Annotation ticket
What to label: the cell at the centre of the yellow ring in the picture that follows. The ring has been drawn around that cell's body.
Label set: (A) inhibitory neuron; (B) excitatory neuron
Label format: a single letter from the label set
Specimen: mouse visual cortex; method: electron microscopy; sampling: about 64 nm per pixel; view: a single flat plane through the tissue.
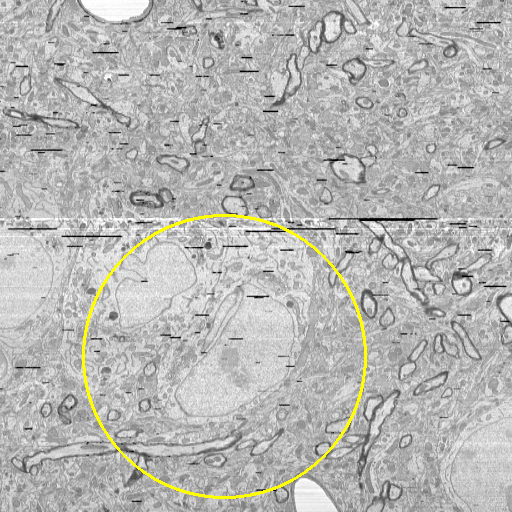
A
